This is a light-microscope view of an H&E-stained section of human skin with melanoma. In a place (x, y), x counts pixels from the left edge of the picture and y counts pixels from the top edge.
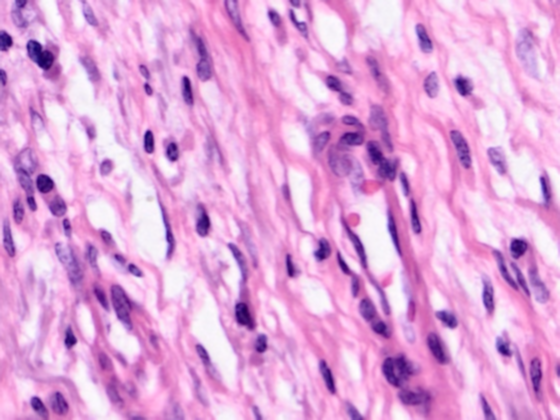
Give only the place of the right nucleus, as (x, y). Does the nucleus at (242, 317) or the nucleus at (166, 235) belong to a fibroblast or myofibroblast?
(166, 235)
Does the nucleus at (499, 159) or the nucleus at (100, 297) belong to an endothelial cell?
(100, 297)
